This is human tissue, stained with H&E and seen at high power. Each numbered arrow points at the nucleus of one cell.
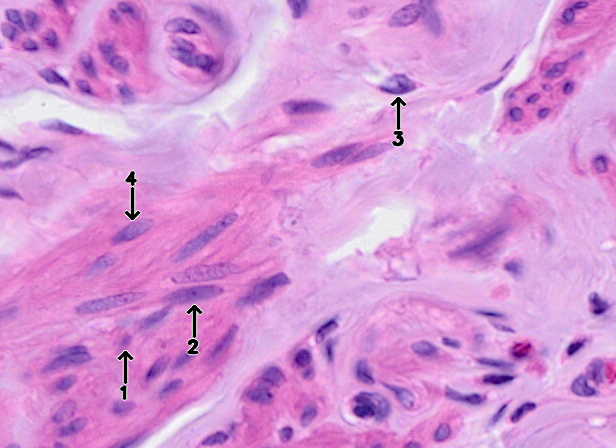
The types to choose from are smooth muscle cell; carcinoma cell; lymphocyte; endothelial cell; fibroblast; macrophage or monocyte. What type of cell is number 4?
smooth muscle cell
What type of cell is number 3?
fibroblast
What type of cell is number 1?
smooth muscle cell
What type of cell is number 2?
smooth muscle cell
